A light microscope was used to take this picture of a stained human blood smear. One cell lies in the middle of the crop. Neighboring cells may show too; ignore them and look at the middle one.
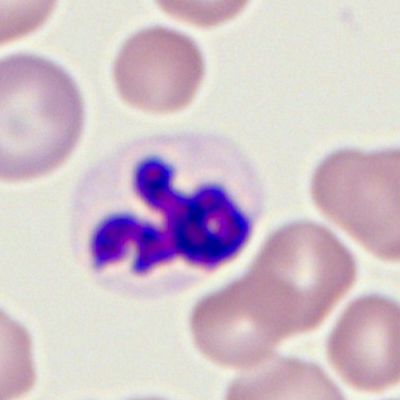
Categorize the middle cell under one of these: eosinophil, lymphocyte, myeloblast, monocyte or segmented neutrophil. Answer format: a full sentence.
The cell shown in the center of this light-microscope crop is a segmented neutrophil.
